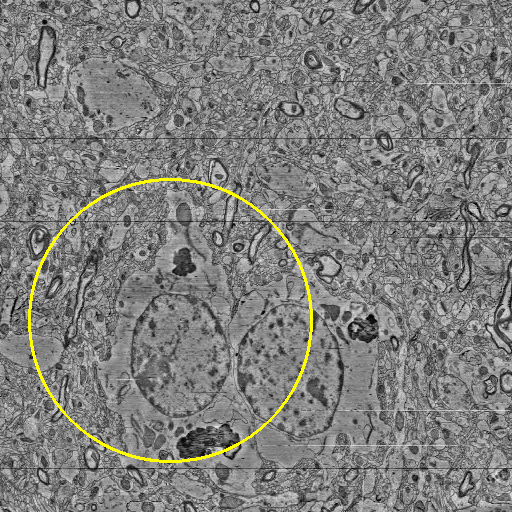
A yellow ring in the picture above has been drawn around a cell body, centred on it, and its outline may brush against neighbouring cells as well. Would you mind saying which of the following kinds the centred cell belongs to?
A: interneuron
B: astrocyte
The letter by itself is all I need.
B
